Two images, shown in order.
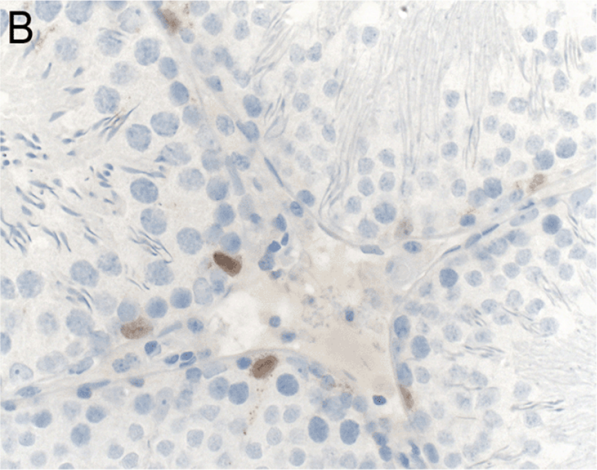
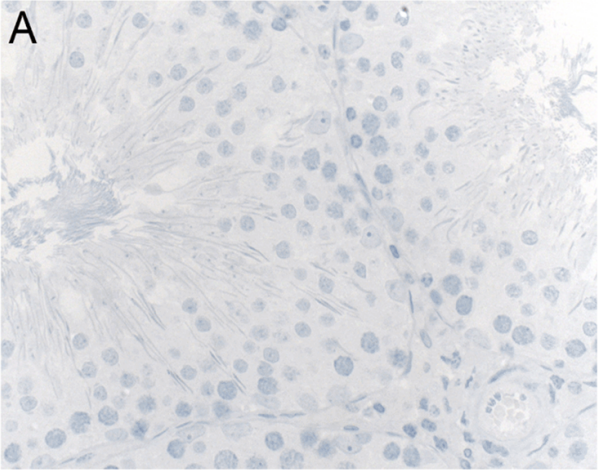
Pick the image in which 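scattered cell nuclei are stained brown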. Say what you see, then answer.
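First image: several nuclei at the base of the tubules are brown. Second image: all nuclei are blue, with no brown nuclei.
Hence: the first image.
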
